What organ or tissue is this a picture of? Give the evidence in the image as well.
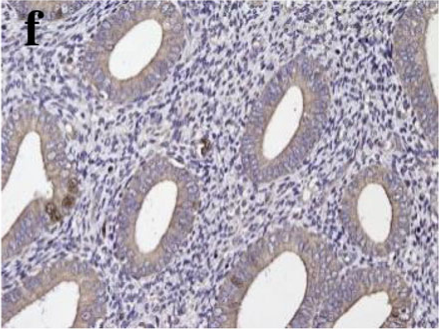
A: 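Endometrium. Many round to oval glands lined by a single layer of columnar epithelium. The glands lie in a dense stroma of small crowded cells with oval nuclei.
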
